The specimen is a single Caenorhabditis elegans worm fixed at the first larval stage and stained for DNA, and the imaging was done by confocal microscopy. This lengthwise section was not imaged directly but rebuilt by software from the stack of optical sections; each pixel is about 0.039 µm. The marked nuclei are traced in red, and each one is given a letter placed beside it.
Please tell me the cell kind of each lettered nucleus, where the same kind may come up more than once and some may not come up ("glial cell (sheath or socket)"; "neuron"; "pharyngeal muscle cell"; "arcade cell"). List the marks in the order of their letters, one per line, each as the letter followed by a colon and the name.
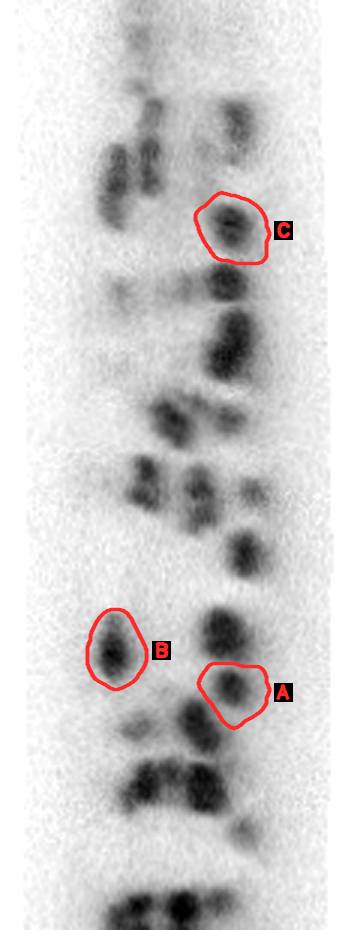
A: neuron
B: glial cell (sheath or socket)
C: arcade cell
